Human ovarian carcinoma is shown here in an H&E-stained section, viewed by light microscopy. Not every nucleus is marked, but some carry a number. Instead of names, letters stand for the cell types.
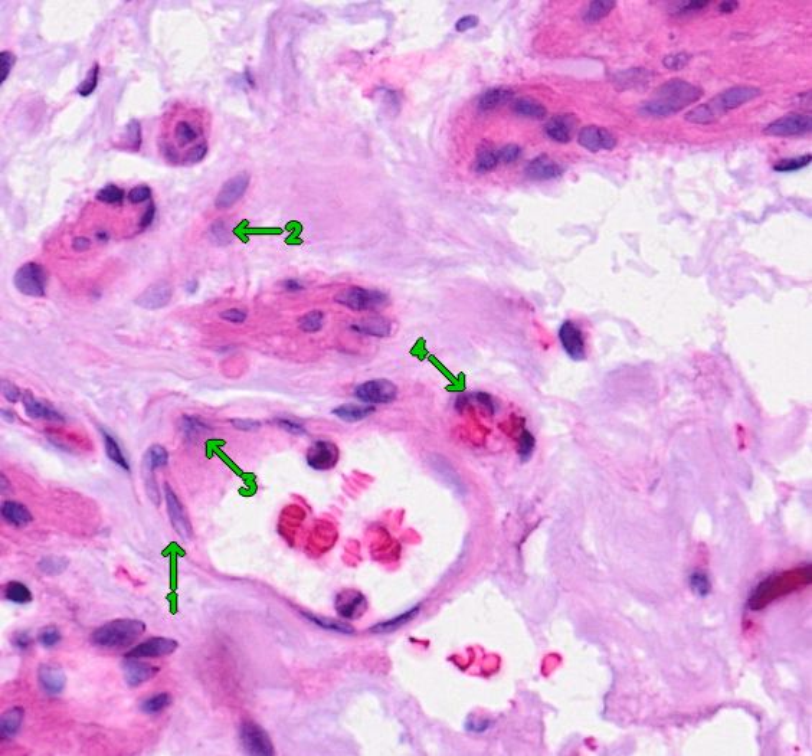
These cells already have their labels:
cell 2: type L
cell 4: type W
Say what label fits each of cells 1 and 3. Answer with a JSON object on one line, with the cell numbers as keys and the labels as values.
{"1": "type W", "3": "type W"}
